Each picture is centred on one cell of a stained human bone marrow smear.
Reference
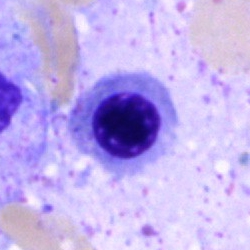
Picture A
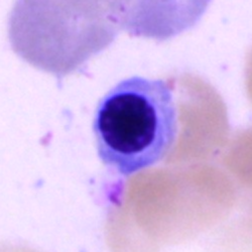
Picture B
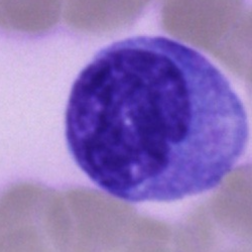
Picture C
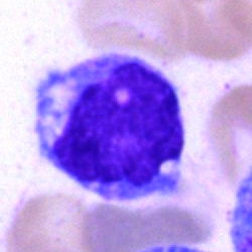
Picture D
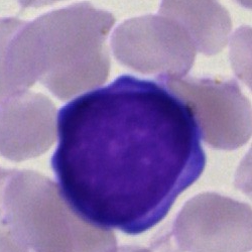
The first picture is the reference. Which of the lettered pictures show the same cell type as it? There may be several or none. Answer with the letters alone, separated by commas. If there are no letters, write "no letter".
A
